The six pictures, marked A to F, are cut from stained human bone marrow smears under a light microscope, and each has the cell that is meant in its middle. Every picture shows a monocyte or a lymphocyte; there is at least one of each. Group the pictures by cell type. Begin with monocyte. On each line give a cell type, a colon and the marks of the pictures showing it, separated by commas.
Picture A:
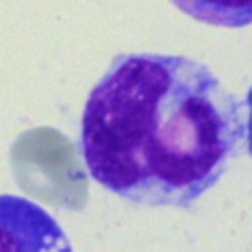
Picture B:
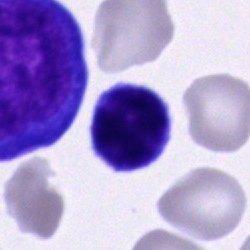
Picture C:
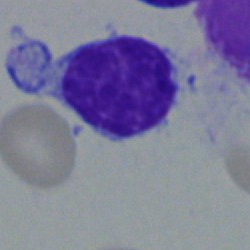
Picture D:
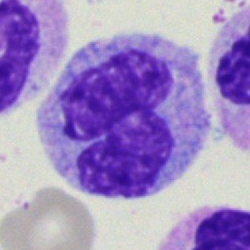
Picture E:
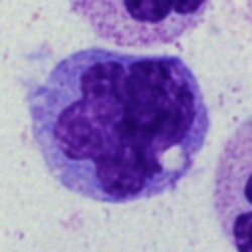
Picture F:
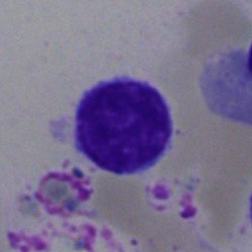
monocyte: A, D, E
lymphocyte: B, C, F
